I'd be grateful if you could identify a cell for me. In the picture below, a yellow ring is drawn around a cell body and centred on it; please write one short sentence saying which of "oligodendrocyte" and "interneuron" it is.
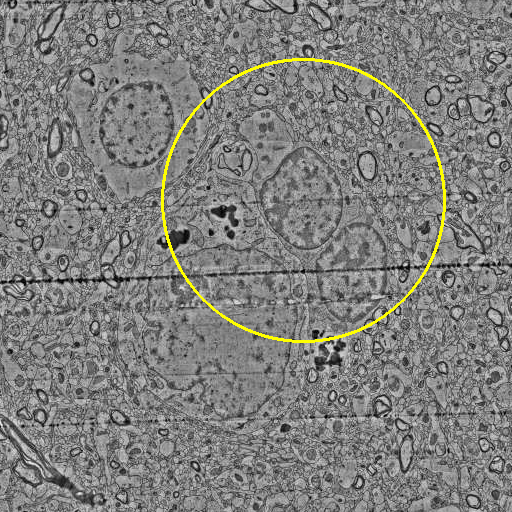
The cell under the ring's centre is an oligodendrocyte.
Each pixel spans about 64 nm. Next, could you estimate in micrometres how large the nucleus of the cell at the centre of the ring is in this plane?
About 7 micrometres by about 5 micrometres in this plane.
